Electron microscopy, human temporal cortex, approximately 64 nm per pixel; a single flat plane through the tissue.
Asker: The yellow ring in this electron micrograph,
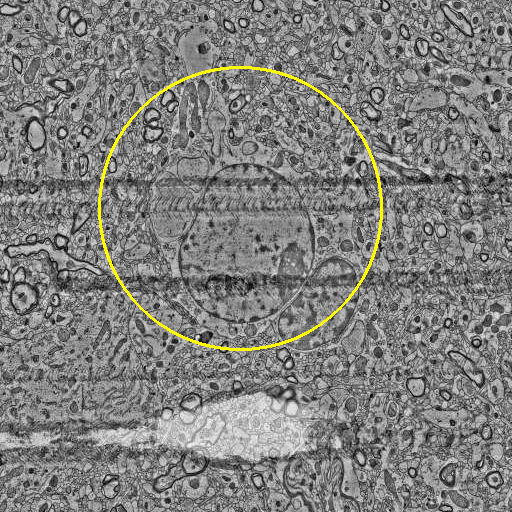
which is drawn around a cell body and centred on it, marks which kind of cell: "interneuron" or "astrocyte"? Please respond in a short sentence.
The marked cell is an astrocyte.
